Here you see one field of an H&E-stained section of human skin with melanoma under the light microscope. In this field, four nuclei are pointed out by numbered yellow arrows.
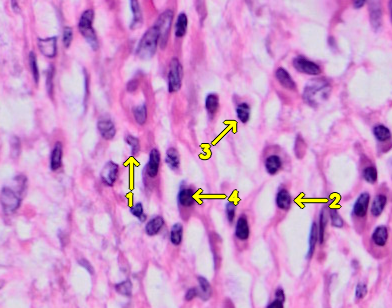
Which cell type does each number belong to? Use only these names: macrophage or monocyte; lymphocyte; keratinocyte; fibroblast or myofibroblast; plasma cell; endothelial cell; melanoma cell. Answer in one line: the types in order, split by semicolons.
fibroblast or myofibroblast; plasma cell; plasma cell; plasma cell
